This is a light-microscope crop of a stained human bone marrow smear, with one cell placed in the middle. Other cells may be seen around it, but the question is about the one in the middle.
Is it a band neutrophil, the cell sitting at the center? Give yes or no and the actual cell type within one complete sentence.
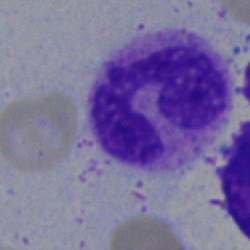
Yes, the cell at the center of the crop is a band neutrophil.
